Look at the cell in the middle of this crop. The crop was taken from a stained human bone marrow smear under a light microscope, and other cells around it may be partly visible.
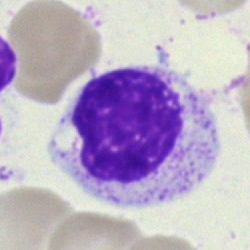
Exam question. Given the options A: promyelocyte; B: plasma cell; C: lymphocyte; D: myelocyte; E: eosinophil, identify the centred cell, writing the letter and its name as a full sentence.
The best answer is option D, since the cell in the middle is a myelocyte.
